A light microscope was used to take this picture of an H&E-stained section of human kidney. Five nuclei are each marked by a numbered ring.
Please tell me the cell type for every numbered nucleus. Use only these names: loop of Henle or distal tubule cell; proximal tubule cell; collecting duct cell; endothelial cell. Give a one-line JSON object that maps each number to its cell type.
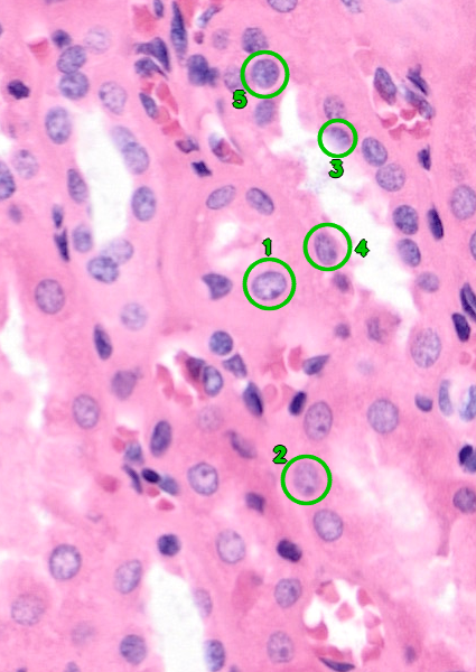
{"1": "proximal tubule cell", "2": "proximal tubule cell", "3": "loop of Henle or distal tubule cell", "4": "loop of Henle or distal tubule cell", "5": "loop of Henle or distal tubule cell"}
